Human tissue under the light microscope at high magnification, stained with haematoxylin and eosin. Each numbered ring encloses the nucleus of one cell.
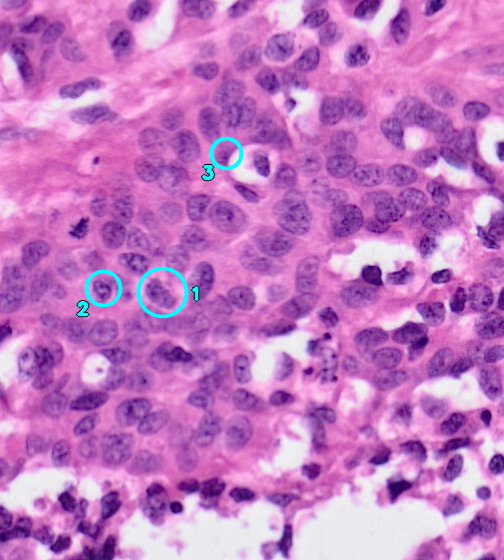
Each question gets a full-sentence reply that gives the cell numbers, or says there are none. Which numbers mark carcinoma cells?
Of the numbered cells, only cell 3 is a carcinoma cell.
